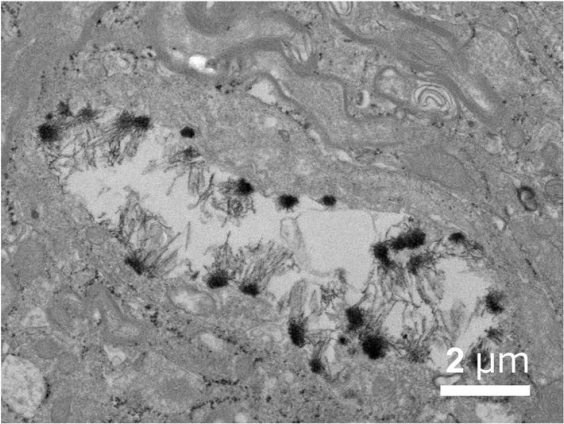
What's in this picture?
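This is a small capillary in brain tissue seen in cross-section, with a pale, irregular lumen bounded by a thin endothelial wall. The striking feature is the coating on the luminal surface: dense black tufts sit at intervals along the inner wall, and from them fine filamentous strands fan out into the lumen like brushes. Around the vessel the neuropil shows grey cell processes and curved, layered membranous profiles.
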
